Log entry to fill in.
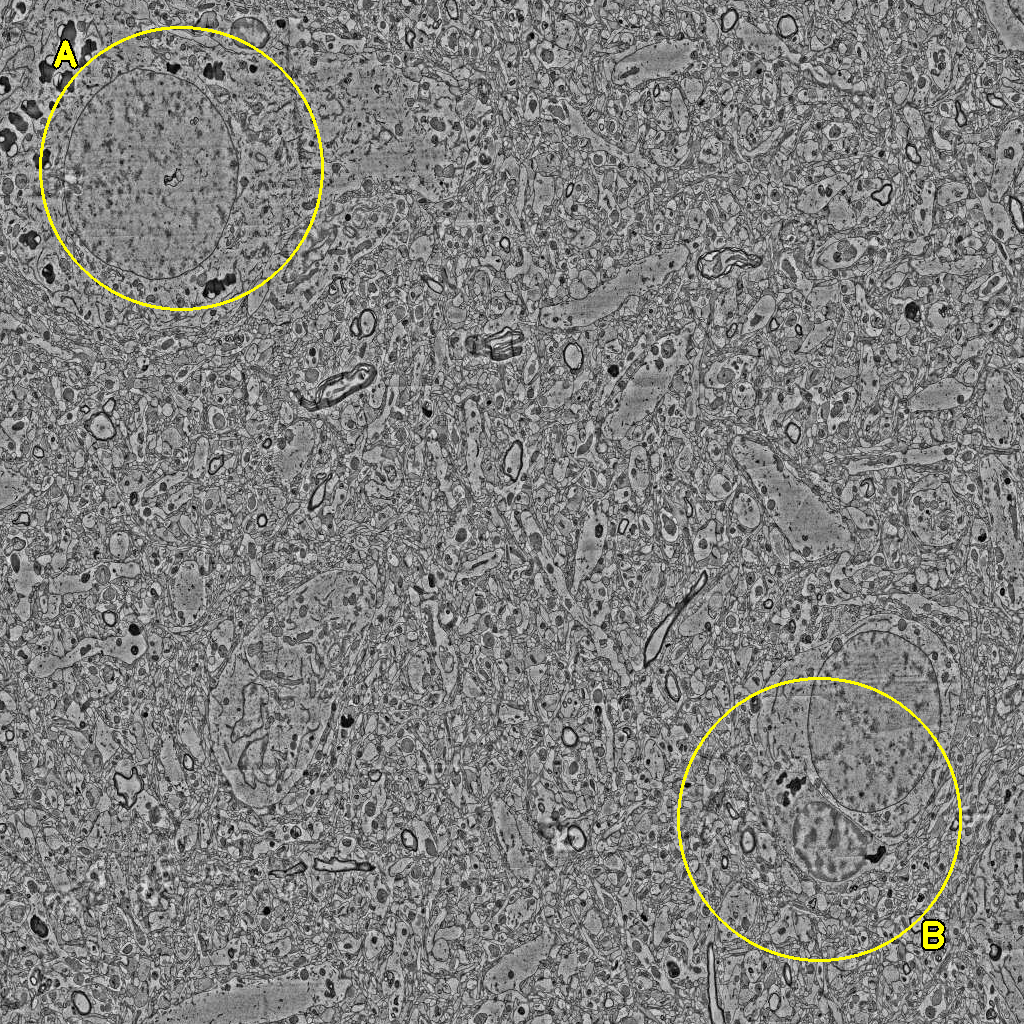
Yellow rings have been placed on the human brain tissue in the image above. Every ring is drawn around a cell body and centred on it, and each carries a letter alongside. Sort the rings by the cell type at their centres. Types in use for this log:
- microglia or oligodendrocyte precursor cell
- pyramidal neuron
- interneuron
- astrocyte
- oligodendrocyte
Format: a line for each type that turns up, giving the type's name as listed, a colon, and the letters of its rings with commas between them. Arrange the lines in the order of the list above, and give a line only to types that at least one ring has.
pyramidal neuron: A
oligodendrocyte: B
